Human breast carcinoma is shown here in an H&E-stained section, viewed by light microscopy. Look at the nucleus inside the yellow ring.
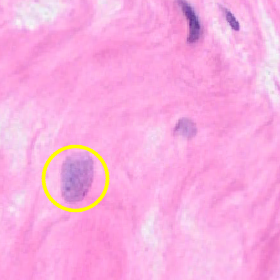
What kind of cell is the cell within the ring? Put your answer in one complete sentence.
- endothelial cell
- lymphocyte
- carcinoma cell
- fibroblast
The cell within the ring is a fibroblast.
